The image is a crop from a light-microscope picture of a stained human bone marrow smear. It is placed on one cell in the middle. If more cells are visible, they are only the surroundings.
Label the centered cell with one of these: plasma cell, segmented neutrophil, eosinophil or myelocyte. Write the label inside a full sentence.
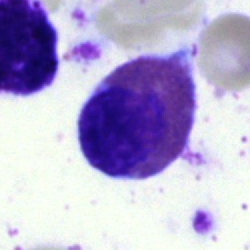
Seen at the centre of the crop is an eosinophil.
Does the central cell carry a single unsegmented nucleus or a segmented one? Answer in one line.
One compact mass makes up the whole nucleus, round, oval or kidney-shaped.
